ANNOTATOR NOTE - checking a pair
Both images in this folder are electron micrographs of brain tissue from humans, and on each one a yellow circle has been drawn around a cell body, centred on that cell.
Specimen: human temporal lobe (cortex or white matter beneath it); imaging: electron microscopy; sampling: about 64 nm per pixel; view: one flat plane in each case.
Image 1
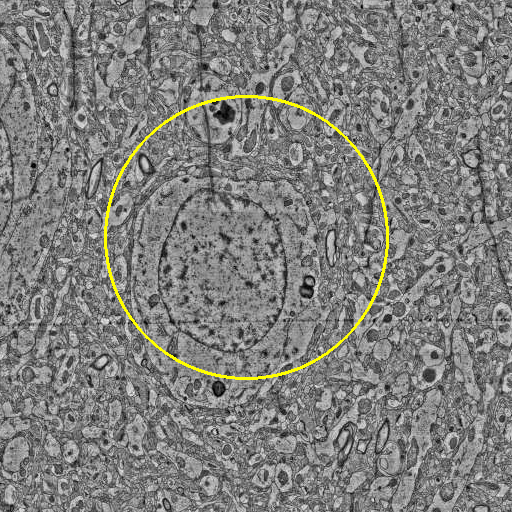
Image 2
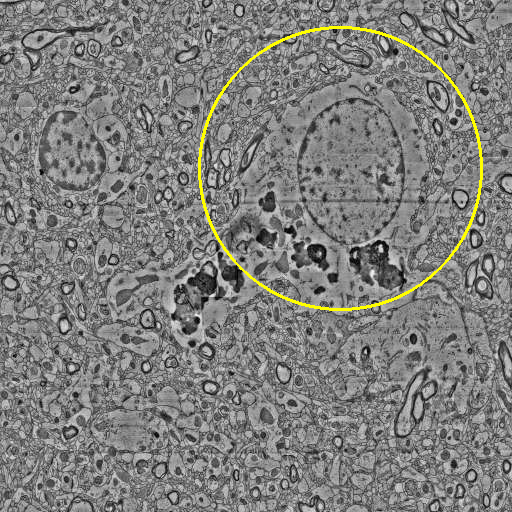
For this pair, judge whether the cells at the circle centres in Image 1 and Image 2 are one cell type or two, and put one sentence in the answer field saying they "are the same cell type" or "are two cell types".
For this pair, the cells at the circle centres in Images 1 and 2 are two cell types.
